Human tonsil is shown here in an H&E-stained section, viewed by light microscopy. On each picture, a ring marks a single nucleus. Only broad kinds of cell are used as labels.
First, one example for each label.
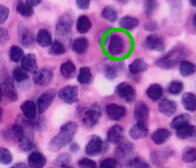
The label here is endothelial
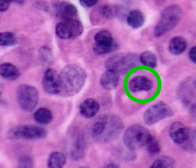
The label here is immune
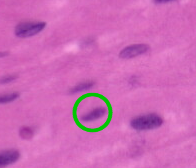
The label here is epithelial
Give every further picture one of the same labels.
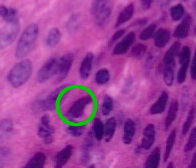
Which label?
epithelial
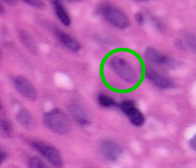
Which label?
epithelial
